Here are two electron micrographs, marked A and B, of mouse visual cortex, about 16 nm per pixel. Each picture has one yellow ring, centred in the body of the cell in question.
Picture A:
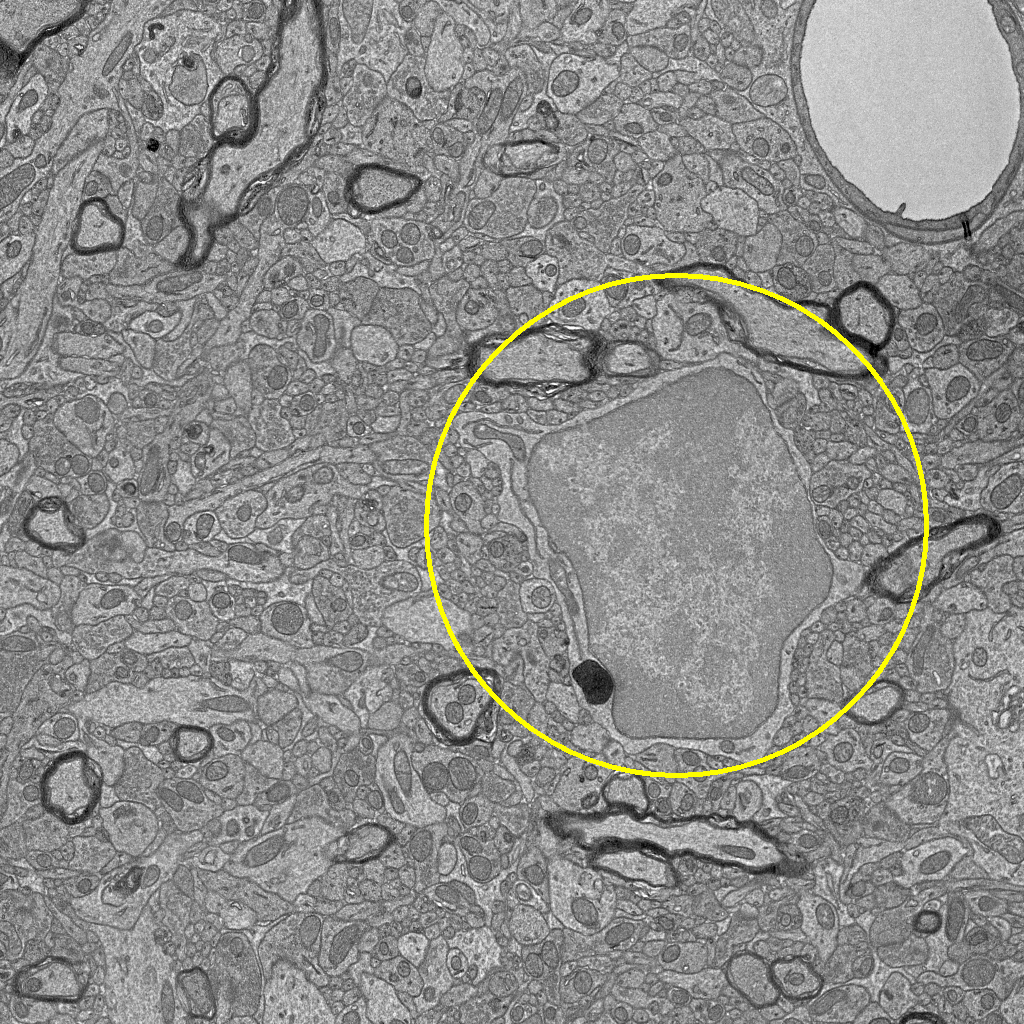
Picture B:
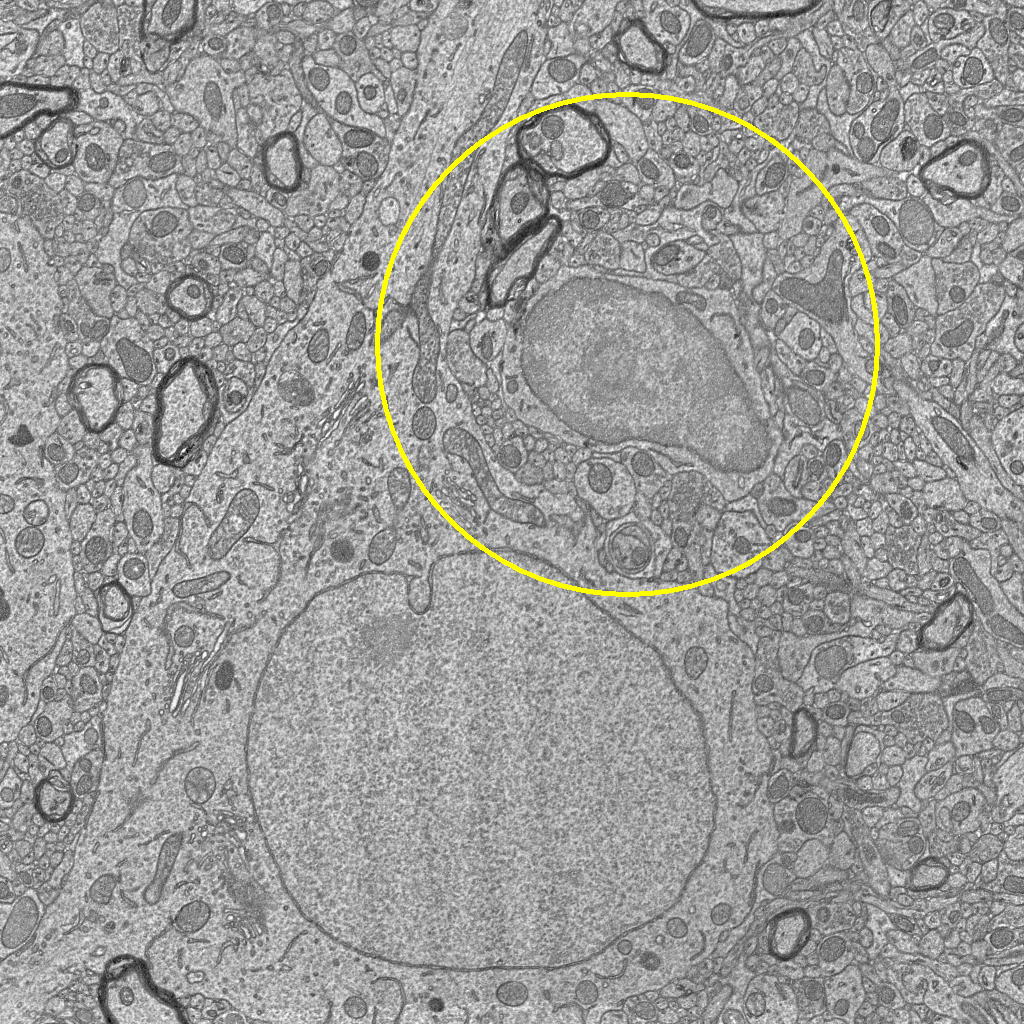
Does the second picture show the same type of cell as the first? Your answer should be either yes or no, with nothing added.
yes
